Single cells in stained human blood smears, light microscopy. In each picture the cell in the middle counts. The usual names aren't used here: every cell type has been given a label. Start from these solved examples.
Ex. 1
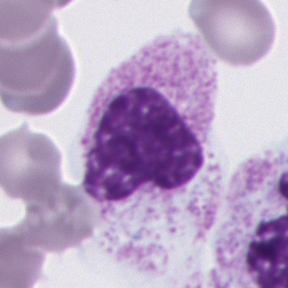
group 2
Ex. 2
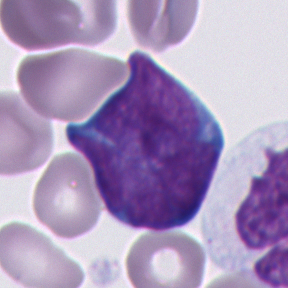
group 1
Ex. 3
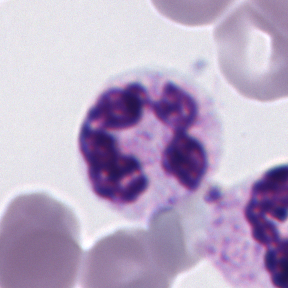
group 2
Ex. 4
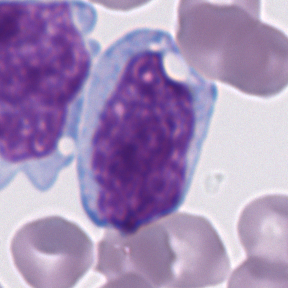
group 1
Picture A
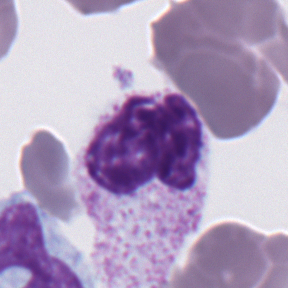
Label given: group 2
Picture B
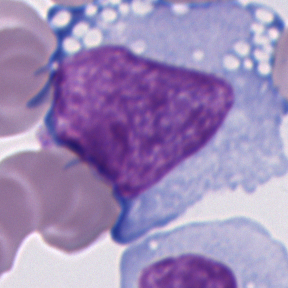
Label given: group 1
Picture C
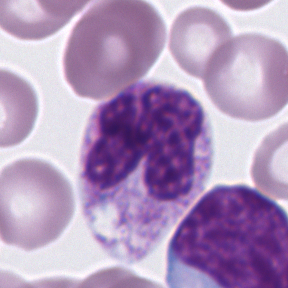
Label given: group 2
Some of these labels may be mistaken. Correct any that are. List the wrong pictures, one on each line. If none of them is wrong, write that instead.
Every label is right.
